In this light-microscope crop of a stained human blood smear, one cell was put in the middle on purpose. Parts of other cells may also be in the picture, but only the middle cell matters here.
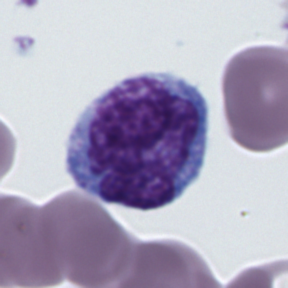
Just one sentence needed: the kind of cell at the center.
Centrally within this crop lies a monocyte.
